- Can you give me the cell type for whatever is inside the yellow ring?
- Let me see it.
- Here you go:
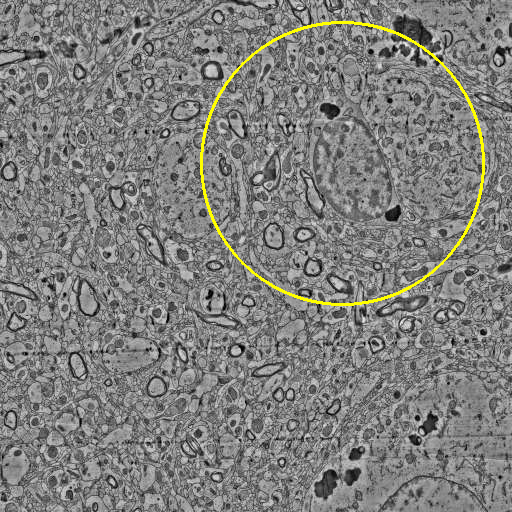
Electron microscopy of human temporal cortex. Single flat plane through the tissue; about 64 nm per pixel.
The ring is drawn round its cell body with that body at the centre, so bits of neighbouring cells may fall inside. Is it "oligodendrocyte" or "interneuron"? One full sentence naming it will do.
The cell body in the middle of the ring in this picture belongs to an oligodendrocyte.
